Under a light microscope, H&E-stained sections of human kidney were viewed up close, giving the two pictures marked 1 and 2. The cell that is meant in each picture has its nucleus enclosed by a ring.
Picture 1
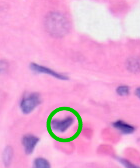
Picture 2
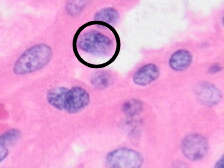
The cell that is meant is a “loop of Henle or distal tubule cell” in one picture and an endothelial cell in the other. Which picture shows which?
1: endothelial cell
2: loop of Henle or distal tubule cell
